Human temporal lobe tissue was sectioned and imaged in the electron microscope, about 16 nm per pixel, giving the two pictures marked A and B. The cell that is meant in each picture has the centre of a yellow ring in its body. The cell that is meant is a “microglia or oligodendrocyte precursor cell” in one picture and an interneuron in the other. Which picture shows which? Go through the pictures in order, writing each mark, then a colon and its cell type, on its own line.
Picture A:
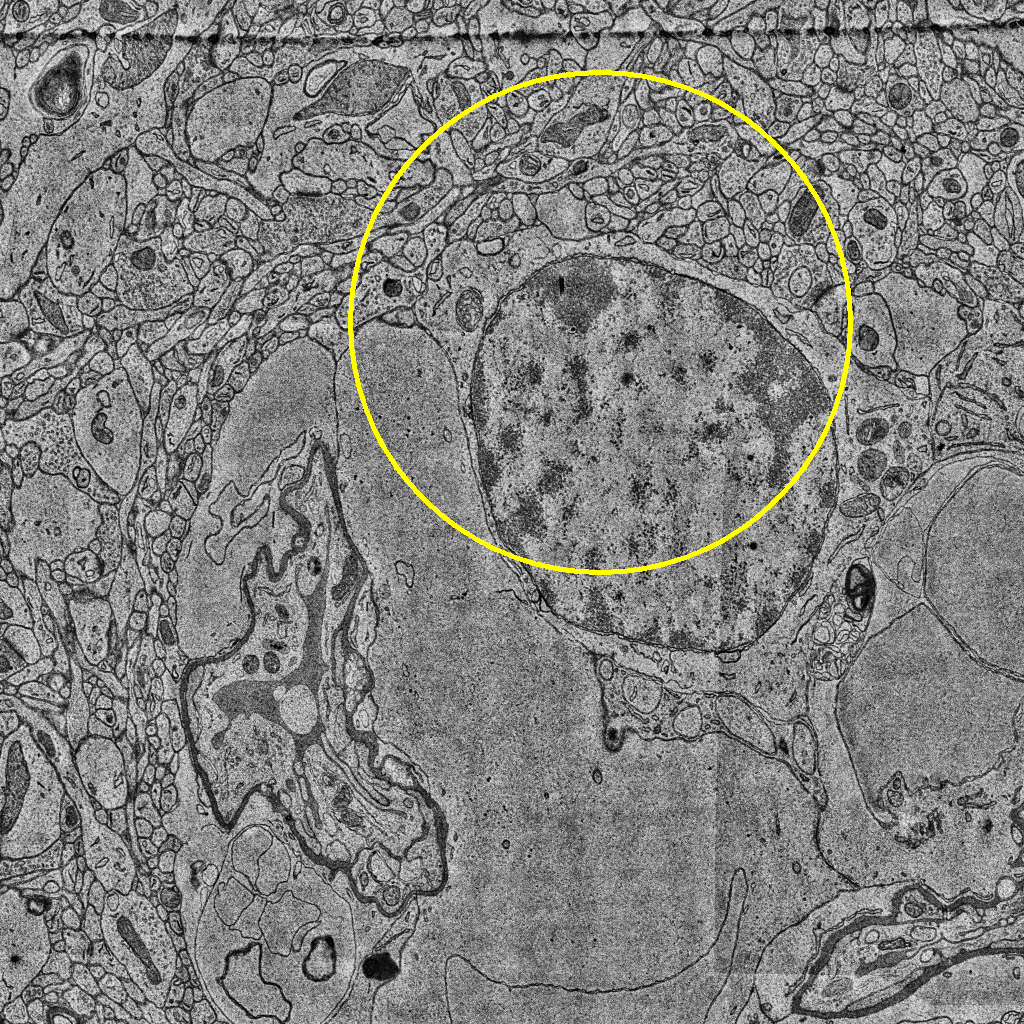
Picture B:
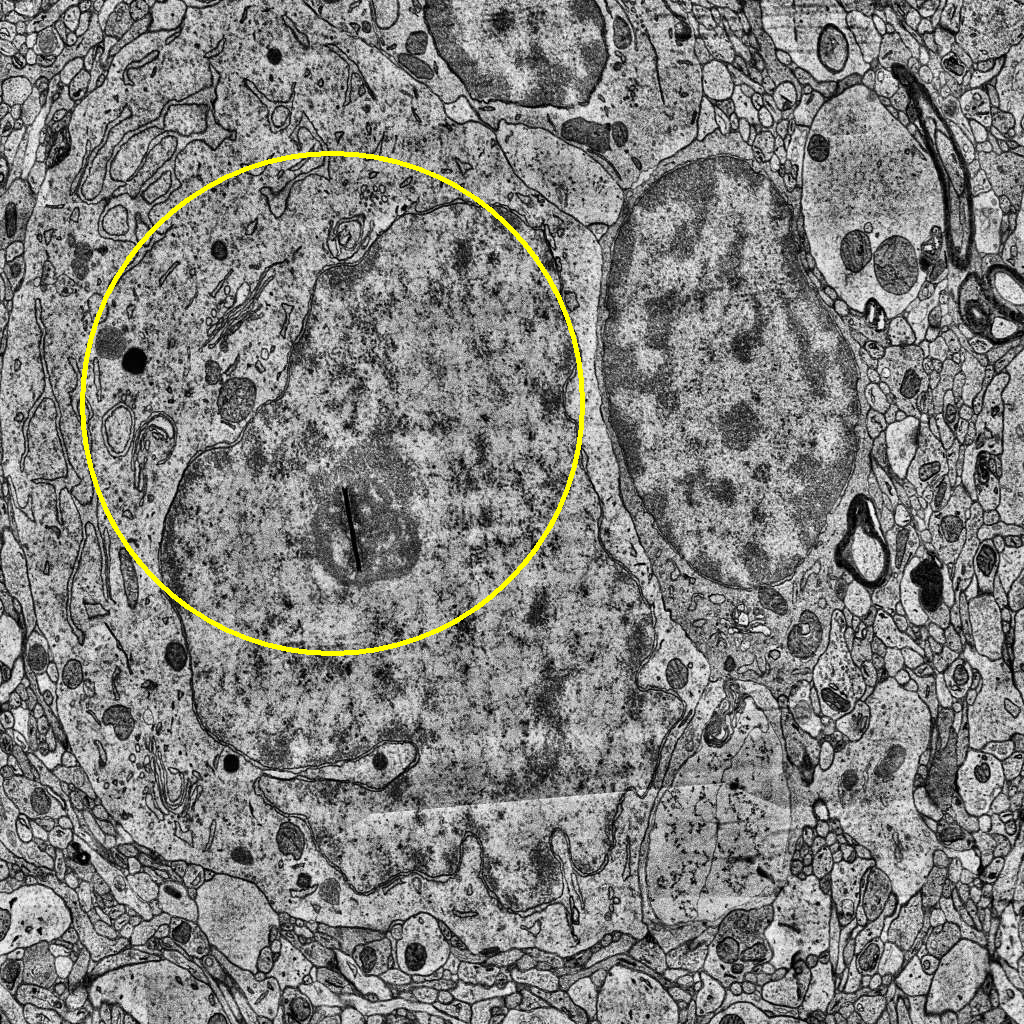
A: microglia or oligodendrocyte precursor cell
B: interneuron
